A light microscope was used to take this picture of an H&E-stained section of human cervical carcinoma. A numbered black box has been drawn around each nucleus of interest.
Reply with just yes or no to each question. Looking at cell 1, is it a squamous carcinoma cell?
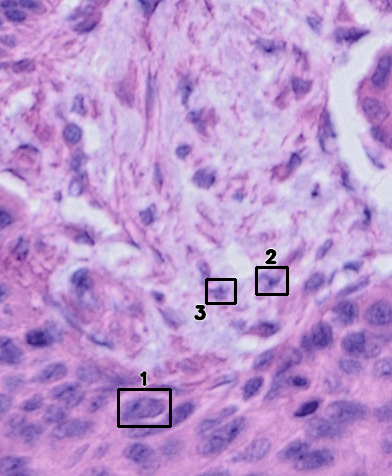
yes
